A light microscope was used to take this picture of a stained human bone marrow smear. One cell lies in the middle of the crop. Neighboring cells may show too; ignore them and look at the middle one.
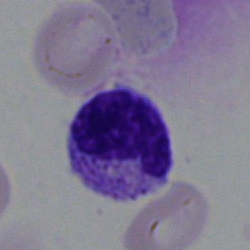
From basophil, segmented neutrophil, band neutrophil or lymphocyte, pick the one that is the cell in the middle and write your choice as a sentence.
This crop is built around a band neutrophil at its centre.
